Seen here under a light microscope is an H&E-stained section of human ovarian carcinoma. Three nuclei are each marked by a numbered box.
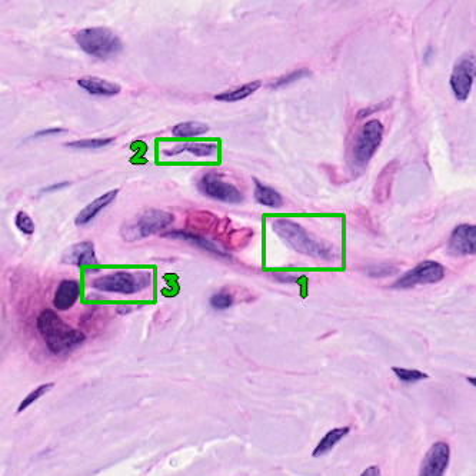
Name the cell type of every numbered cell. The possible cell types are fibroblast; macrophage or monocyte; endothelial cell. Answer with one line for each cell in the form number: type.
1: endothelial cell
2: fibroblast
3: endothelial cell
